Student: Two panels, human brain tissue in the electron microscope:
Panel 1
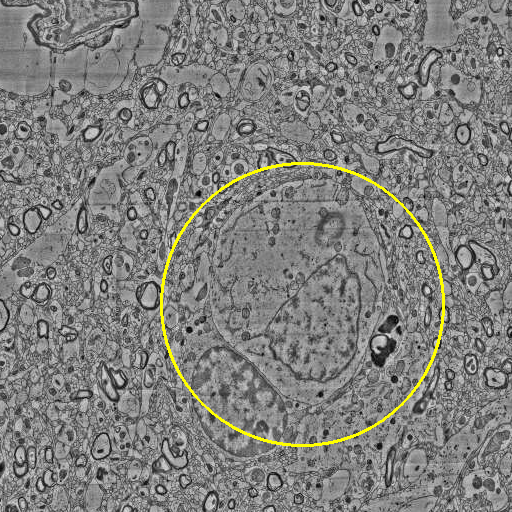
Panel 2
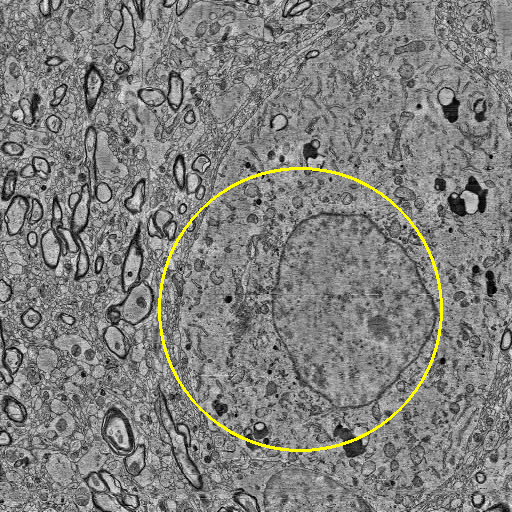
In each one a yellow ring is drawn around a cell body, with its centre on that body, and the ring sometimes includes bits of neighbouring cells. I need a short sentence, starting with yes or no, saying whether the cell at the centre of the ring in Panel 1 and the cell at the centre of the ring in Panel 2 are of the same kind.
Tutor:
Yes, they are the same kind of cell.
